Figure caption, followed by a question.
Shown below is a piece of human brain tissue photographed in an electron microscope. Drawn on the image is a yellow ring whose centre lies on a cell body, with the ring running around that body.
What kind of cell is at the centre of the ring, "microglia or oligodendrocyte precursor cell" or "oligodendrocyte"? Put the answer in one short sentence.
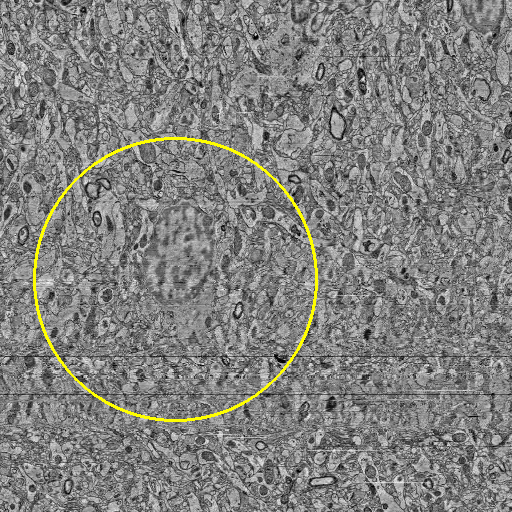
The ring marks the cell body of an oligodendrocyte.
